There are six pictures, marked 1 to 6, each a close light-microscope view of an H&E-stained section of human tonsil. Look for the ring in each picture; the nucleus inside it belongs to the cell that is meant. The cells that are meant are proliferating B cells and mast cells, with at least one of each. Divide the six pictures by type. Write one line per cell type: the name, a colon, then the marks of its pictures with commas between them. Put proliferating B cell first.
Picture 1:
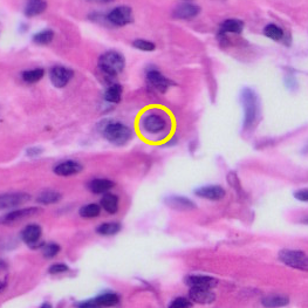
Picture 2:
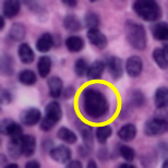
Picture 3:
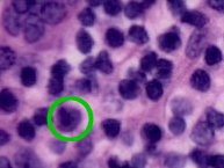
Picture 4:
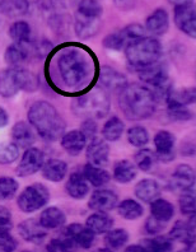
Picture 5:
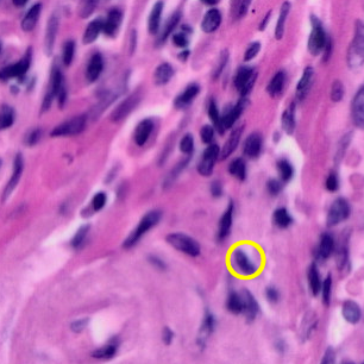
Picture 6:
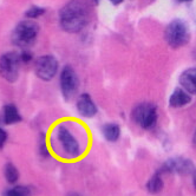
proliferating B cell: 2, 3, 4
mast cell: 1, 5, 6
